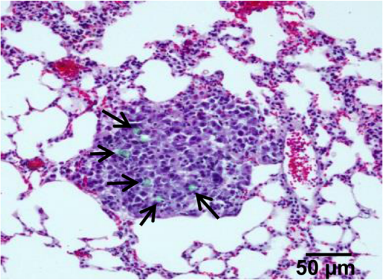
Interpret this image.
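A rounded tumor nodule of tightly packed cells sits within lung tissue, surrounded by open alveolar spaces with thin pink walls. The cells of the nodule have large, dark purple nuclei and scant cytoplasm and are crowded together without air spaces between them. A few small pale greenish spots are scattered within the nodule. Red blood cells collect in vessels and septa at its edges.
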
